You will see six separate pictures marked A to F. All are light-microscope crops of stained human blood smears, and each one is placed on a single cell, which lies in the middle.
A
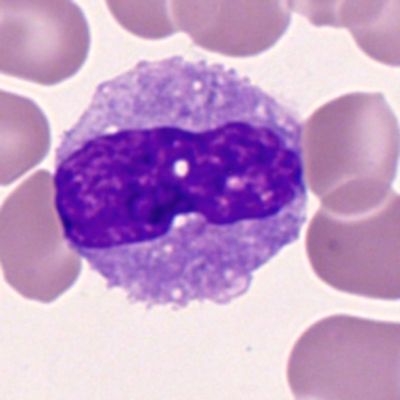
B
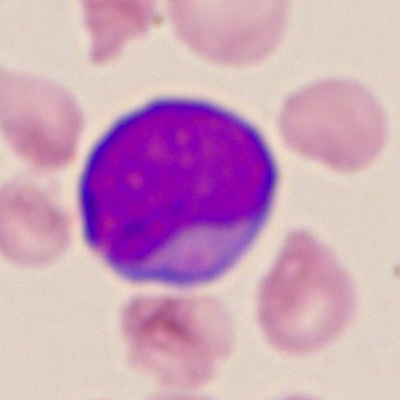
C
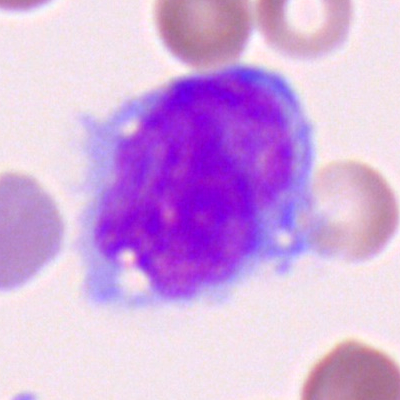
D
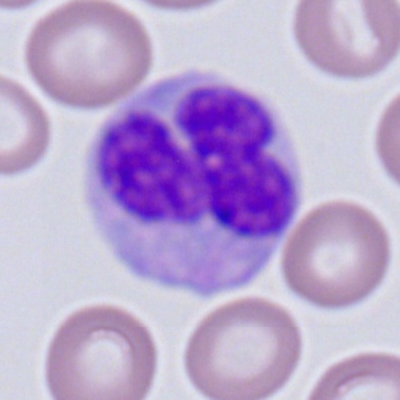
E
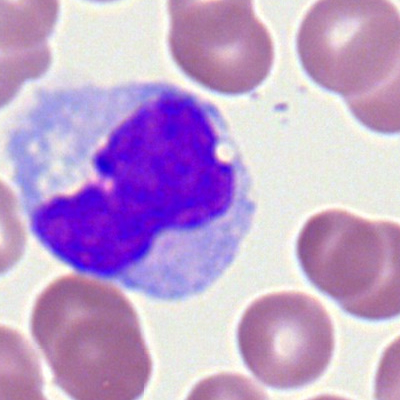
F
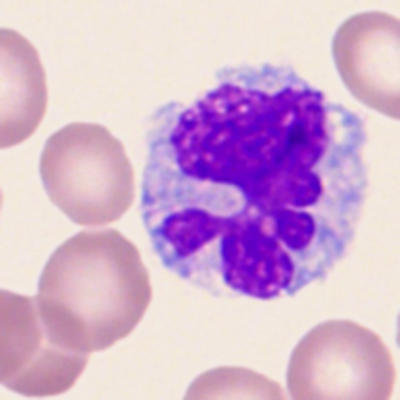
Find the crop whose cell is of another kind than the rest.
B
